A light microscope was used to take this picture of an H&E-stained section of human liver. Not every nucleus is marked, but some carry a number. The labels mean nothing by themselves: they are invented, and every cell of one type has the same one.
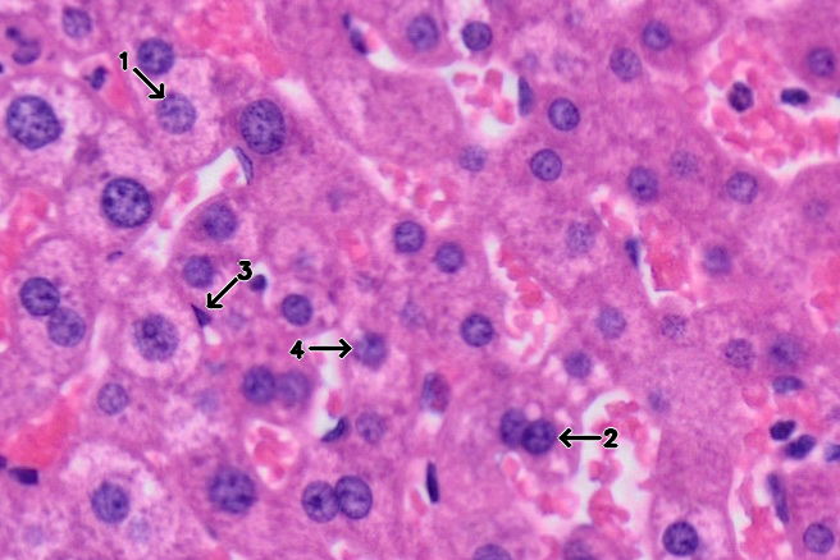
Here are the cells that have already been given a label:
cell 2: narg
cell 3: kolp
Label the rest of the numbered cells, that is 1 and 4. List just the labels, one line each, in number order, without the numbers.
narg
narg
